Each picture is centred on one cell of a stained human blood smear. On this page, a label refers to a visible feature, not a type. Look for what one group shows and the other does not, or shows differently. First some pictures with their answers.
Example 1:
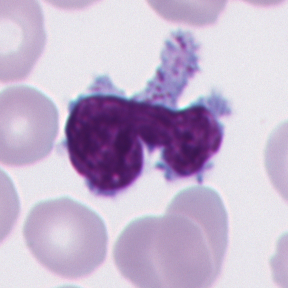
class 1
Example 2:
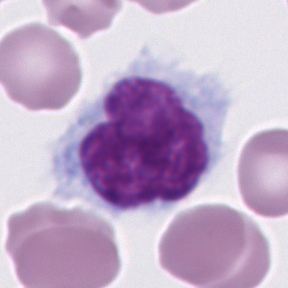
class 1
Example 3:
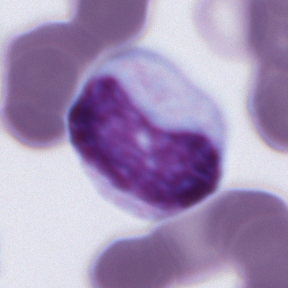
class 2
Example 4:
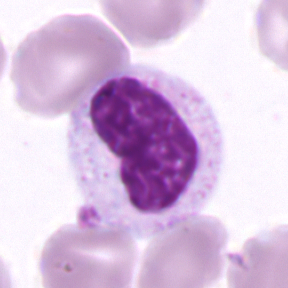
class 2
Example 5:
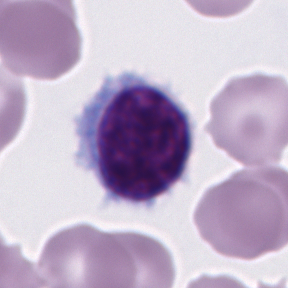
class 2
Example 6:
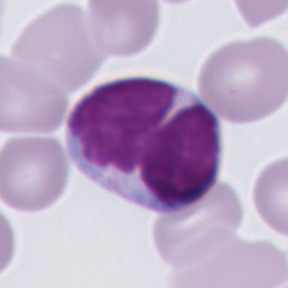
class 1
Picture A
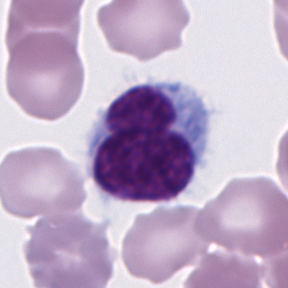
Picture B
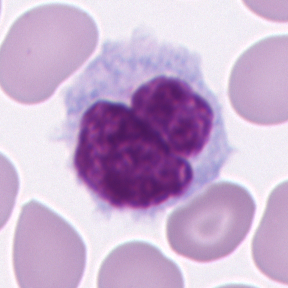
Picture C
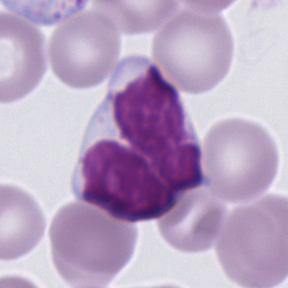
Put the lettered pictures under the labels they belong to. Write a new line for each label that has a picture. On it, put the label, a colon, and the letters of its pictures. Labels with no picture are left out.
class 1: A, B, C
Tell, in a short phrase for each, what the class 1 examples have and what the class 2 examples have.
class 1: lobed nucleus; class 2: single compact nucleus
